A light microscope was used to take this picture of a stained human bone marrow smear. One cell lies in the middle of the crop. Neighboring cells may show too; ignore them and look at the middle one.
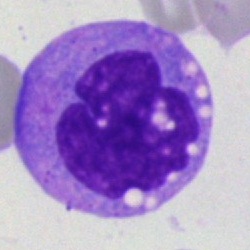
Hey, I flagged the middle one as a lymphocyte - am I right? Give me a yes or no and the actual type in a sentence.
No, the central cell is designated a monocyte and not a lymphocyte.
